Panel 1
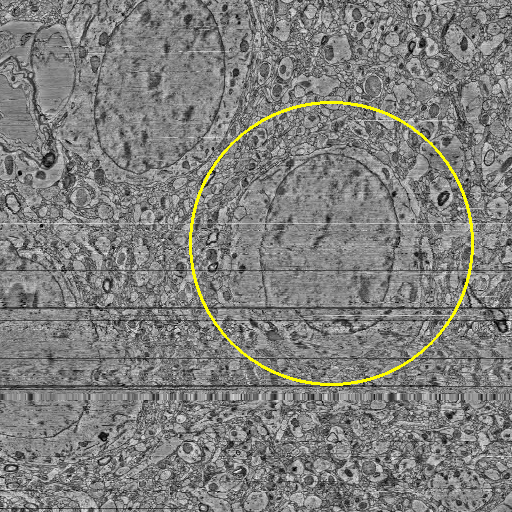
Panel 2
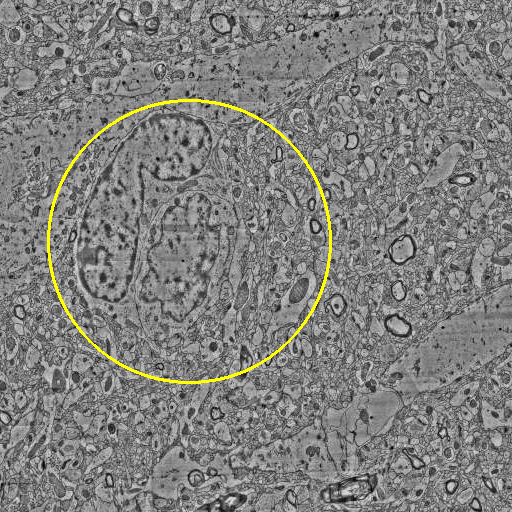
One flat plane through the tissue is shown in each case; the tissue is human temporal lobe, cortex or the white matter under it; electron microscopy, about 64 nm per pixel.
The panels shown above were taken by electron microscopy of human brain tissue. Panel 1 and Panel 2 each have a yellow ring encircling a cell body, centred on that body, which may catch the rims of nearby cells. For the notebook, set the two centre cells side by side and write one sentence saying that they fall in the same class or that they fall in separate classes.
The centred cells of Panel 1 and Panel 2 fall in separate classes.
